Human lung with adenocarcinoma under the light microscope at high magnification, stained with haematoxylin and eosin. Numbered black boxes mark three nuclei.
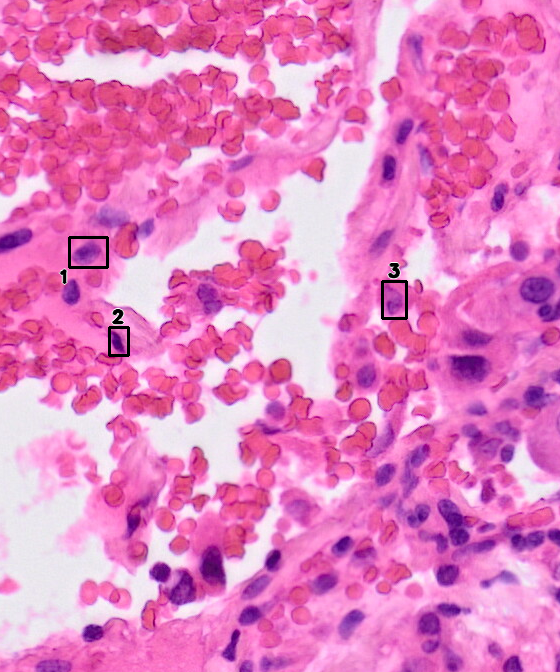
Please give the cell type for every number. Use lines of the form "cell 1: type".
cell 1: type I pneumocyte
cell 2: endothelial cell
cell 3: macrophage or monocyte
